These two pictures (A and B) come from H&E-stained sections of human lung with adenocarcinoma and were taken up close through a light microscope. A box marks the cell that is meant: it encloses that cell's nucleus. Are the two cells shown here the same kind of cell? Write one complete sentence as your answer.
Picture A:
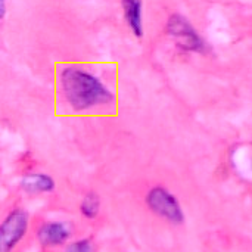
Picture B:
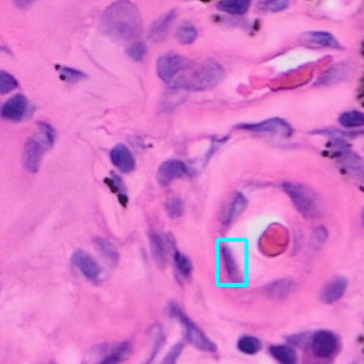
No, picture A shows a fibroblast and picture B shows an endothelial cell.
